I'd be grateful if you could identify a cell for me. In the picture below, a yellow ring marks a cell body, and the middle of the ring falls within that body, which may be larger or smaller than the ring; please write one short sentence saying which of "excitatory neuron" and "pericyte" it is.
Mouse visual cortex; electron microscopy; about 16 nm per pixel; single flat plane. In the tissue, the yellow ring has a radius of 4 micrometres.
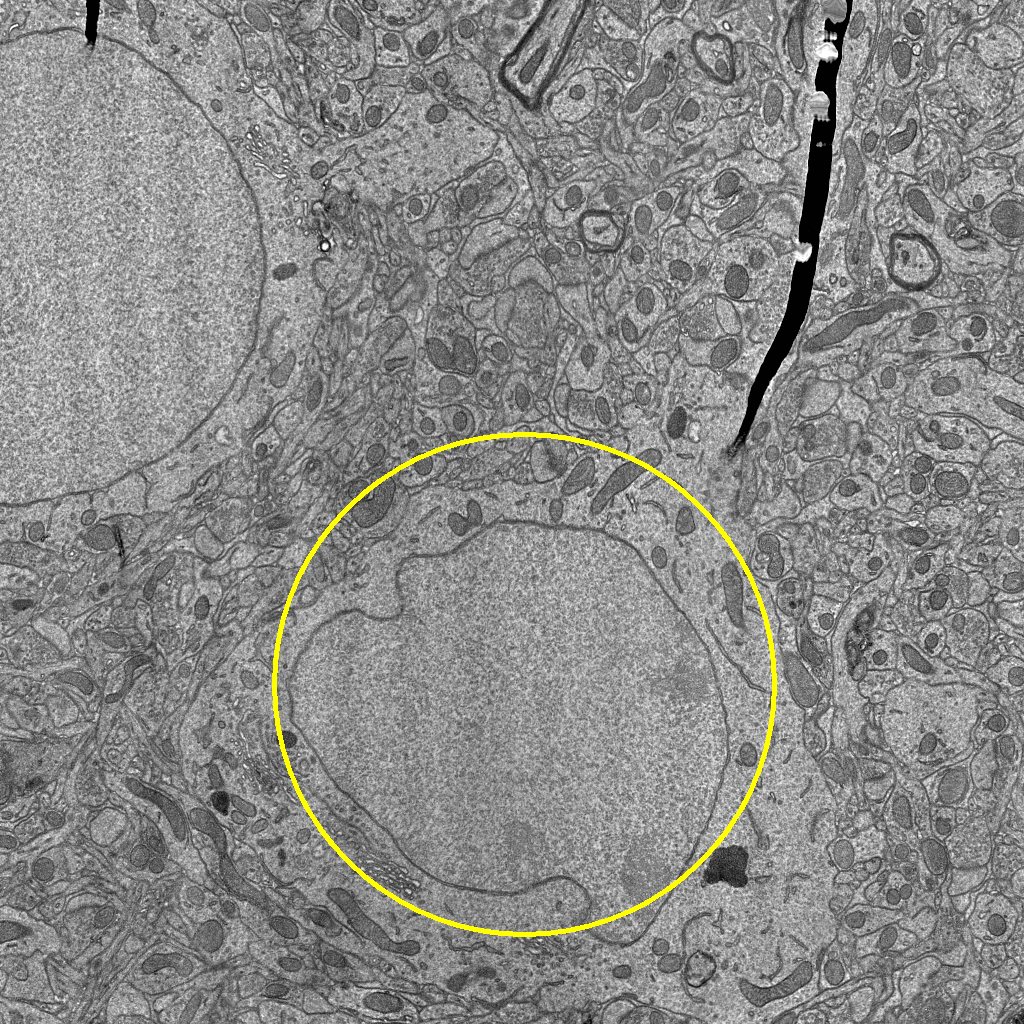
The cell under the ring's centre is an excitatory neuron.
